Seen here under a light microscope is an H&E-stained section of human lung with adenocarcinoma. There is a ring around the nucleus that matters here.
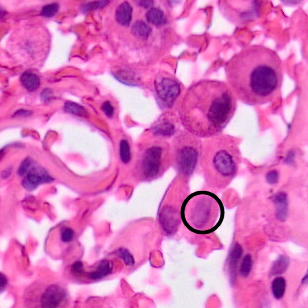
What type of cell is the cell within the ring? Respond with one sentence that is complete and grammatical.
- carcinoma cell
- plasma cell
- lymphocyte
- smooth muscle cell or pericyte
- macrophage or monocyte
As to its cell type, the cell within the ring is a macrophage or monocyte.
